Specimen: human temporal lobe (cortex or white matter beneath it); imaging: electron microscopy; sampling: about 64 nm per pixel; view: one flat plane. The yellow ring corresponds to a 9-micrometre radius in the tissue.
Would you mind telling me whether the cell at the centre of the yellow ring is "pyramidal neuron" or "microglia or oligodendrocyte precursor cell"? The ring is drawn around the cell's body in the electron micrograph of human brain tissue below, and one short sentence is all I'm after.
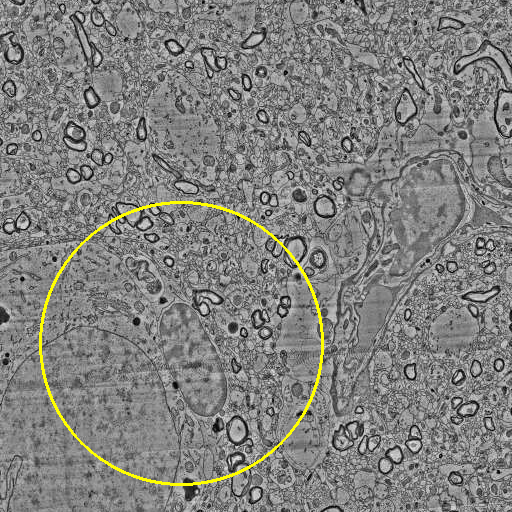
In the centre of the ring lies a microglial cell or oligodendrocyte precursor cell.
